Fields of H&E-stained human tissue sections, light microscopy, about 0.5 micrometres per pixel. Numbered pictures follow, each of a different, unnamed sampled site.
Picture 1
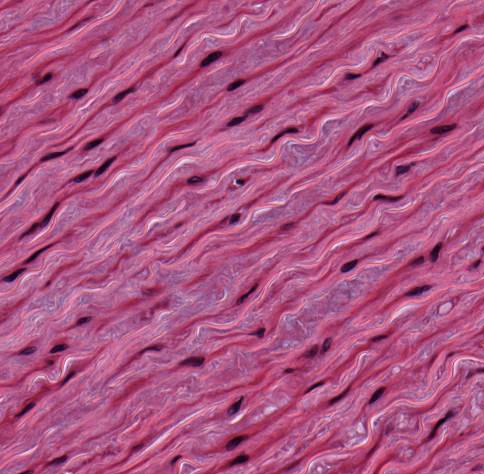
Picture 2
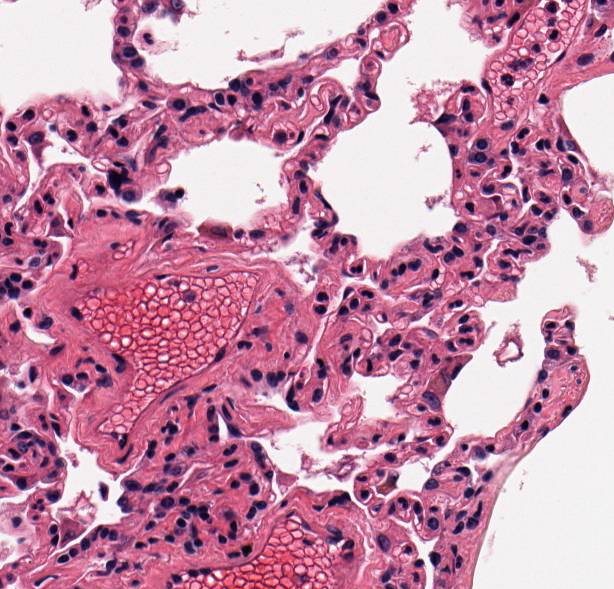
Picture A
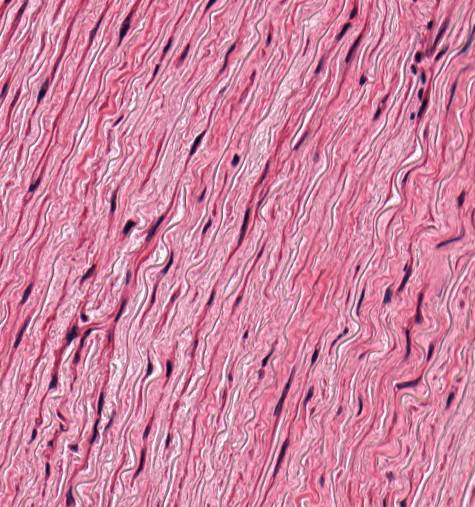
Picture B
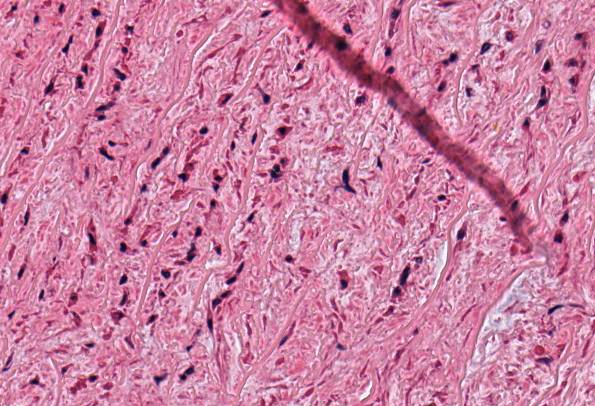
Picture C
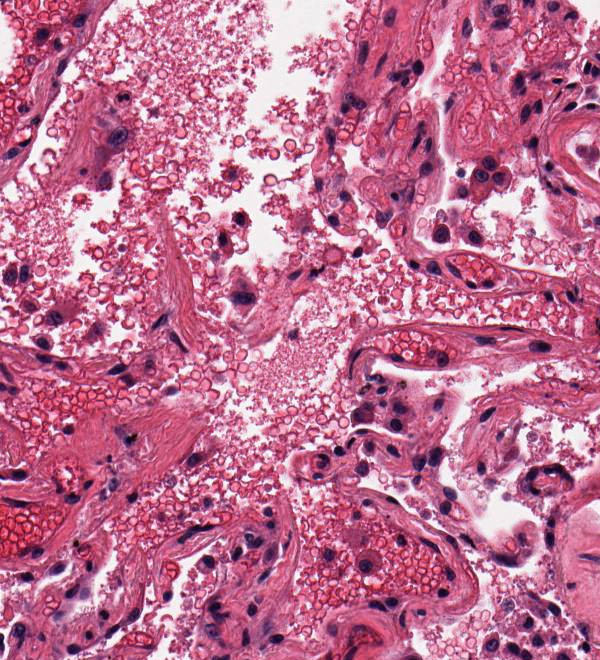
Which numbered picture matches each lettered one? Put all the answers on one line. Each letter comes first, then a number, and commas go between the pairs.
A 1, B 1, C 2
